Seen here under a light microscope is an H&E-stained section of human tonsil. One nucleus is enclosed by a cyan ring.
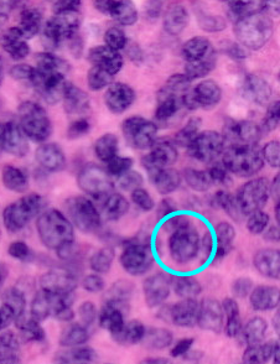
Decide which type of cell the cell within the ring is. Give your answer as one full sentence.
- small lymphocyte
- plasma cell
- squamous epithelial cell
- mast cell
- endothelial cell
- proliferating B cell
As classified here, the cell within the ring is a proliferating B cell.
